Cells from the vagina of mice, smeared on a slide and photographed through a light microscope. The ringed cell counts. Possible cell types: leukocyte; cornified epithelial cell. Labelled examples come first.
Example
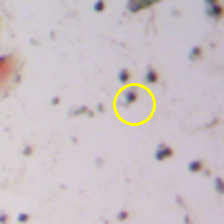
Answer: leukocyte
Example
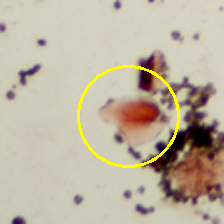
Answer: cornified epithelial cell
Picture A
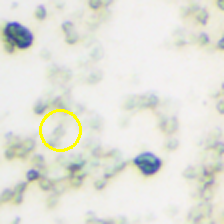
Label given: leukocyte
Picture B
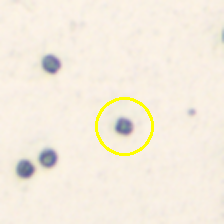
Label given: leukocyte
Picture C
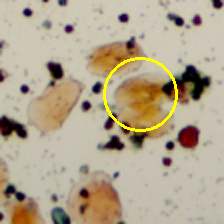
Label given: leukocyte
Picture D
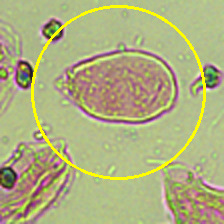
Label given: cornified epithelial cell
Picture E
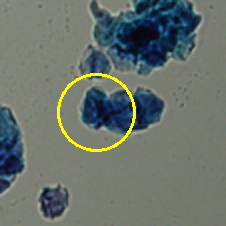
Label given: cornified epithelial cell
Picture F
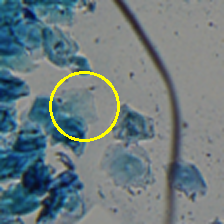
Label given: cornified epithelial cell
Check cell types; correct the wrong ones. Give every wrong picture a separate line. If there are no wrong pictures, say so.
Wrong: C (leukocyte); correct: cornified epithelial cell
